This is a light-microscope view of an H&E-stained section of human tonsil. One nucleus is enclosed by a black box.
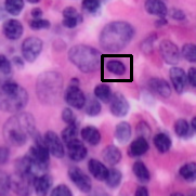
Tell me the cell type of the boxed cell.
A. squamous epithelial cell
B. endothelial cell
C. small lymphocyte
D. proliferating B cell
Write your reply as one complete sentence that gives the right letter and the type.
In this item, the boxed cell is an endothelial cell, and option B is right.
